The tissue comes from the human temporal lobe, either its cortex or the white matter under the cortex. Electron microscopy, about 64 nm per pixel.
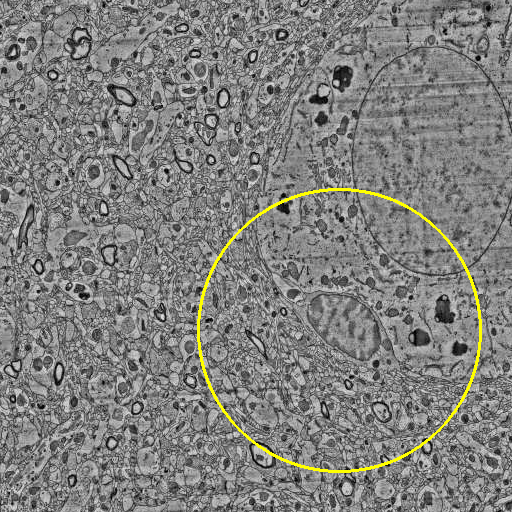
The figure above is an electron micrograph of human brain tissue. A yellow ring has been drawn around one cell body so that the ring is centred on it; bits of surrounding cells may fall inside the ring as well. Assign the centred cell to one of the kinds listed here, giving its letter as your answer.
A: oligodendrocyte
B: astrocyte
A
